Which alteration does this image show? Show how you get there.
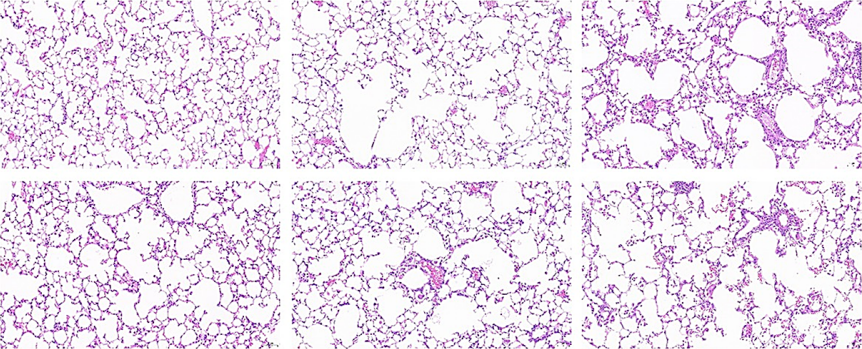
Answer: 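Thin alveolar septa outline many small airspaces. Several images contain large irregular airspaces much wider than the surrounding alveoli. The answer: airspace enlargement.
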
